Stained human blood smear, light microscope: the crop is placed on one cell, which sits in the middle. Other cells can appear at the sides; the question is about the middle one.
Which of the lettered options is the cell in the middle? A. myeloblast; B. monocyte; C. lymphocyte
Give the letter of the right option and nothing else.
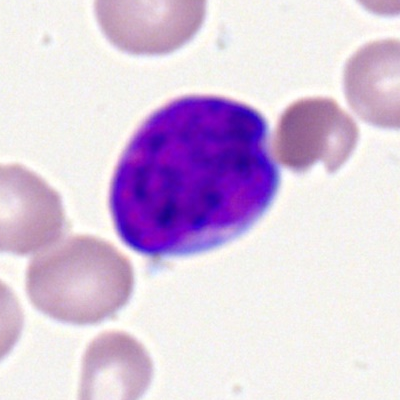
A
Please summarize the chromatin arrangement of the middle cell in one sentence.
Thanks for asking; the chromatin is coarsely clumped.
